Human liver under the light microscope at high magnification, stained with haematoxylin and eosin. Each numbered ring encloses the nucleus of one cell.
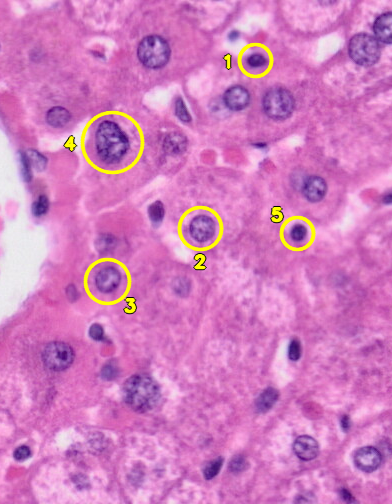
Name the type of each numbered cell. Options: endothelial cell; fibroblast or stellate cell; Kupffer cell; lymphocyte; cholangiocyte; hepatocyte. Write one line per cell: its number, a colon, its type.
1: fibroblast or stellate cell
2: hepatocyte
3: hepatocyte
4: hepatocyte
5: lymphocyte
